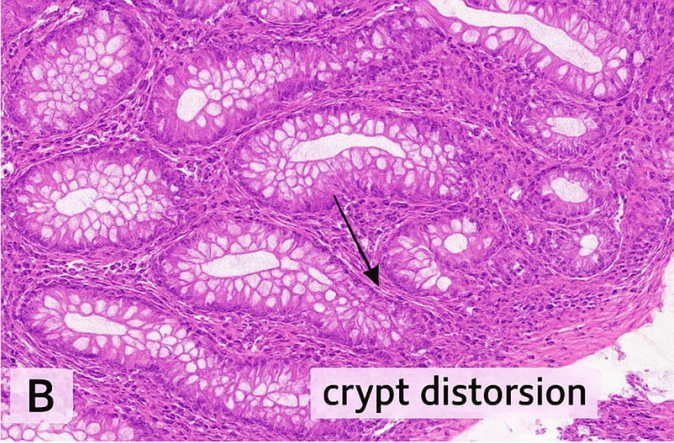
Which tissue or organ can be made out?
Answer: Colonic mucosa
